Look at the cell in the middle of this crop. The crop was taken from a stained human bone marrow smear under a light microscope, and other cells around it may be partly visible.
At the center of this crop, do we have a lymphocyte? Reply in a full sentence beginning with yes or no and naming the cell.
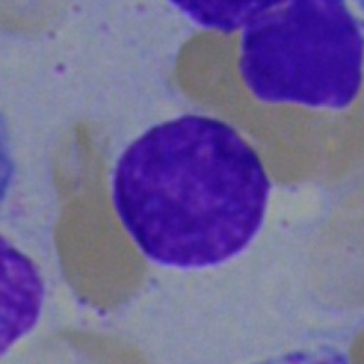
Yes, the cell shown centrally is a lymphocyte.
